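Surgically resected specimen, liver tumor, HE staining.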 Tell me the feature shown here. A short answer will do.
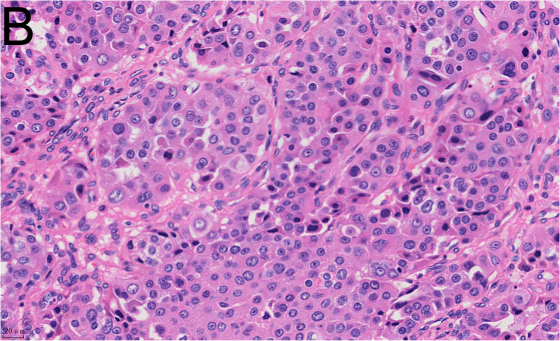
nest-like clusters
